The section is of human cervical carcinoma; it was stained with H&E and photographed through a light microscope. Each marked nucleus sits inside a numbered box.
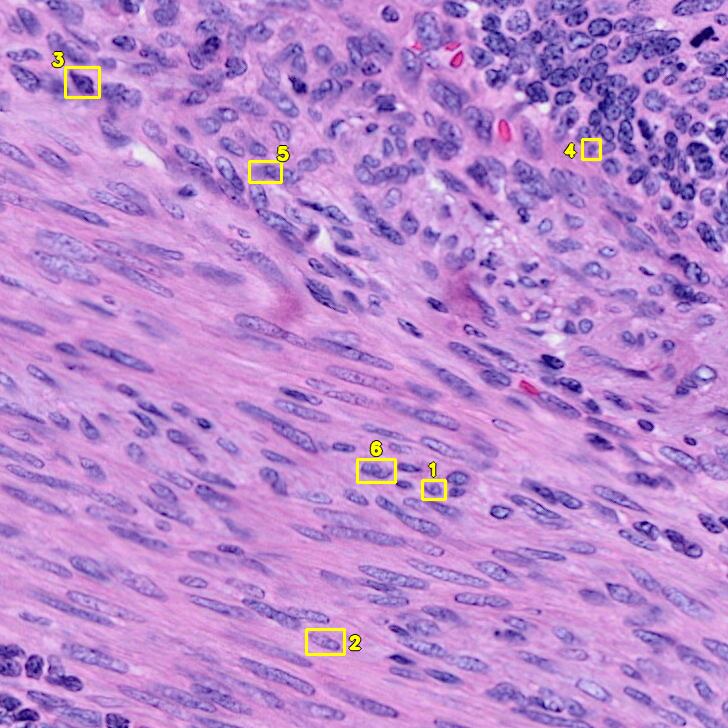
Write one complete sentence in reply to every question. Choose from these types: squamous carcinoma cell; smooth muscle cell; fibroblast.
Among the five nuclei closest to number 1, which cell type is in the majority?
Smooth muscle cells account for more than half of the five nuclei nearest to number 1.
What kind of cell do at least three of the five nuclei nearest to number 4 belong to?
The majority of the five nuclei closest to number 4 belong to squamous carcinoma cells.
